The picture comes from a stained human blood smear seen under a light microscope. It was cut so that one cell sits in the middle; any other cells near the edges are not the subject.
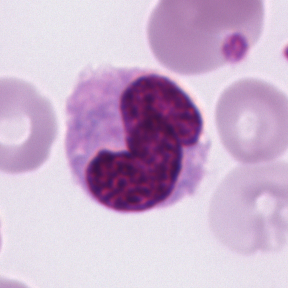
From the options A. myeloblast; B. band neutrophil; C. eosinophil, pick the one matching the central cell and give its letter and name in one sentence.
According to option B, which is correct, the cell in the middle is a band neutrophil.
